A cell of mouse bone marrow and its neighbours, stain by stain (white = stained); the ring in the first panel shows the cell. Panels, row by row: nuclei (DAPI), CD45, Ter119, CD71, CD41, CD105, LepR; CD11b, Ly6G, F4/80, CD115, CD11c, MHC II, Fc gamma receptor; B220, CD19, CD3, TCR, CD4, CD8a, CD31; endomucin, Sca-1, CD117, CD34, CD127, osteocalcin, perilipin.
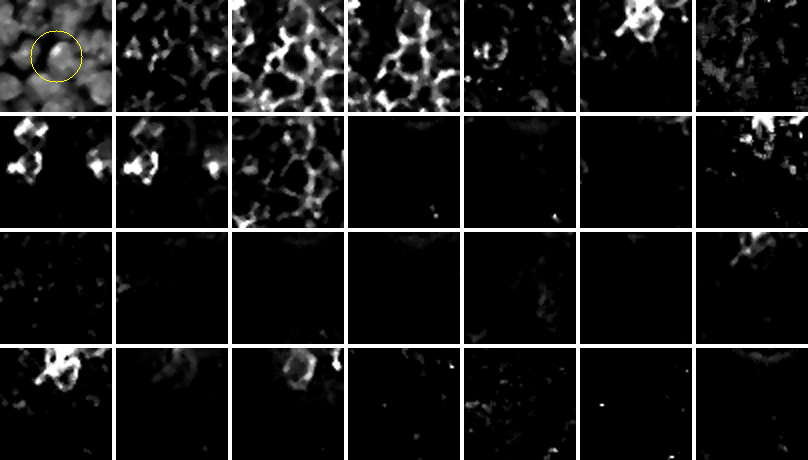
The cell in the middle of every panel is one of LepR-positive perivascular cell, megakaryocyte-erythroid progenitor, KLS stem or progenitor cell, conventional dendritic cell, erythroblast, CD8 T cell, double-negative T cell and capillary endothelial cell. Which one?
erythroblast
